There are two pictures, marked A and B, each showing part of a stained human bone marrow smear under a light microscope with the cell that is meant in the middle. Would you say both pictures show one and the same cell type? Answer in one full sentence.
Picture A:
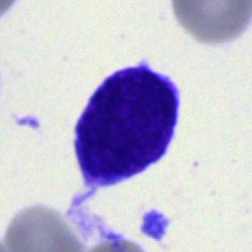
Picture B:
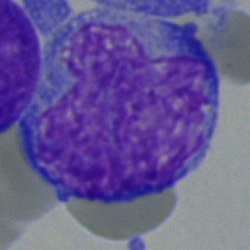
Yes, the two pictures both show blasts.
